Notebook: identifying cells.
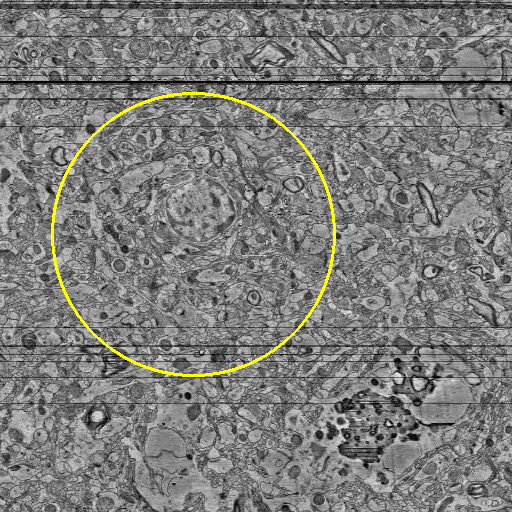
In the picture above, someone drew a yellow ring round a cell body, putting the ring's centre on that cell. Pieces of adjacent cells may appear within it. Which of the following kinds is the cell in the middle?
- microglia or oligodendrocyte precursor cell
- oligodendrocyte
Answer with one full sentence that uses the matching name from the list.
In this picture, the yellow ring is centred on the body of a microglial cell or oligodendrocyte precursor cell.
